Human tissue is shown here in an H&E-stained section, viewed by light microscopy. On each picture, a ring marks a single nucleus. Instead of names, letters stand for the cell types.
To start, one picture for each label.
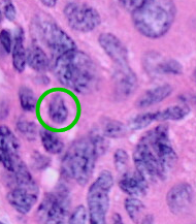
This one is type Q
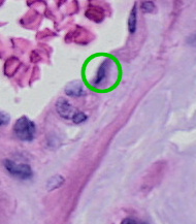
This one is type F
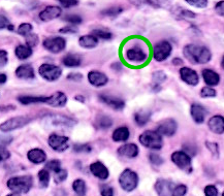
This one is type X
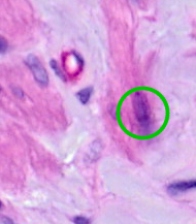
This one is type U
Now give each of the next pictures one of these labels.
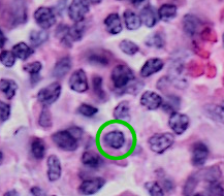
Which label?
type X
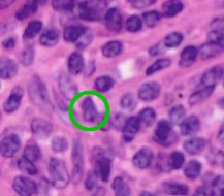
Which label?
type X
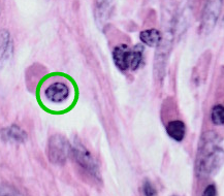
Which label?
type X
